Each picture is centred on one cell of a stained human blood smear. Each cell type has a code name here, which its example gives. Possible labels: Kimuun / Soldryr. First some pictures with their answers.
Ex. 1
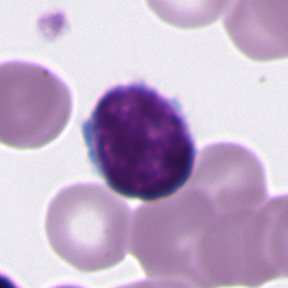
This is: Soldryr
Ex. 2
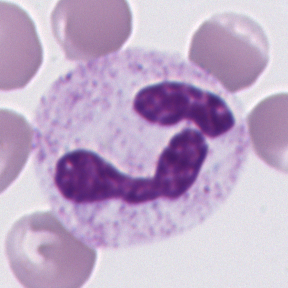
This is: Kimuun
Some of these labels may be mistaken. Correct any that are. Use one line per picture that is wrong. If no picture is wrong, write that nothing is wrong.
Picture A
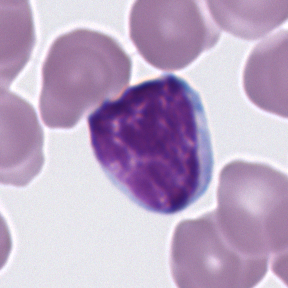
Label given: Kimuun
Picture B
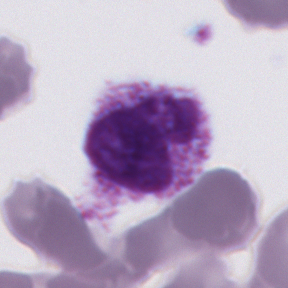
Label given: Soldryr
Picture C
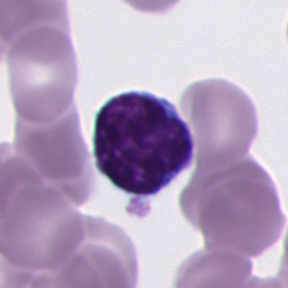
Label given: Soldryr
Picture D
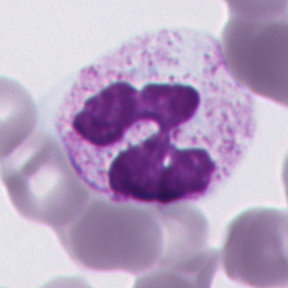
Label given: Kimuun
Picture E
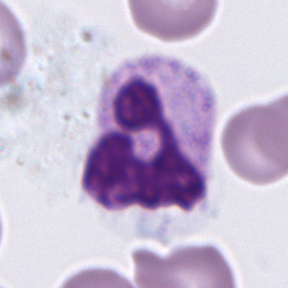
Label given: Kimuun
Wrong: A (Kimuun); correct: Soldryr
Wrong: B (Soldryr); correct: Kimuun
